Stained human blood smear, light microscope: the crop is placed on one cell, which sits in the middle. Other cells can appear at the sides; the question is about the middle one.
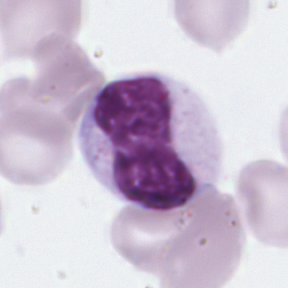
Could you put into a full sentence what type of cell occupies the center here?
Within this crop, a metamyelocyte occupies the central position.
